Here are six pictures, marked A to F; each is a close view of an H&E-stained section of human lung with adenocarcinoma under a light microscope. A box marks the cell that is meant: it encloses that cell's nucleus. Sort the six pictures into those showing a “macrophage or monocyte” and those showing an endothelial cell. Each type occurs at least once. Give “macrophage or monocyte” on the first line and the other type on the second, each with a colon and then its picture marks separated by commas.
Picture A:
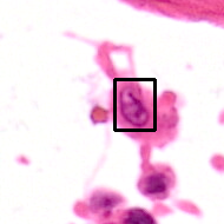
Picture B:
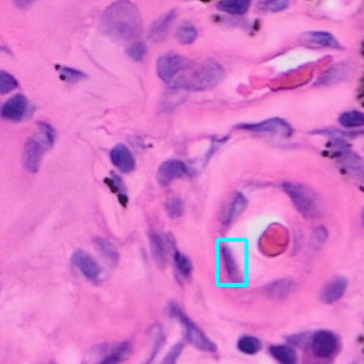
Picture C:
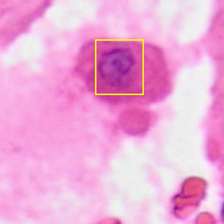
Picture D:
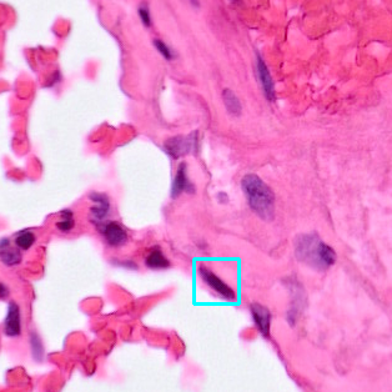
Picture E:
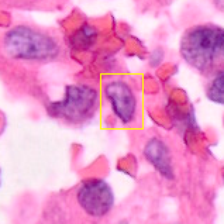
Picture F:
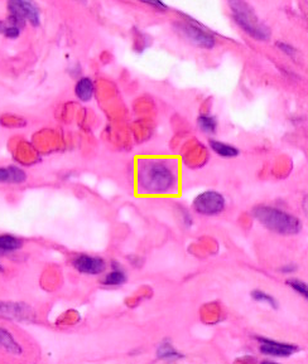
macrophage or monocyte: A, C, E, F
endothelial cell: B, D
